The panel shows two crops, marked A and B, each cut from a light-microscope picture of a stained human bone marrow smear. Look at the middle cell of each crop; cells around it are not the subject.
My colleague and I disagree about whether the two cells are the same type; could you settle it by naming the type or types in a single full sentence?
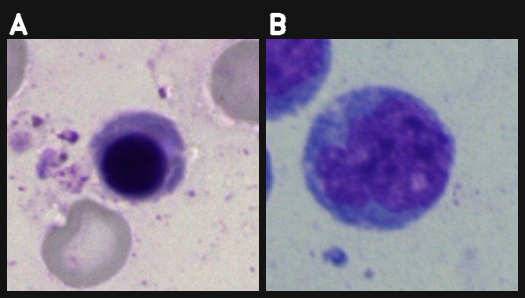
No, while an erythroblast is found in crop A, a blast is found in crop B.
